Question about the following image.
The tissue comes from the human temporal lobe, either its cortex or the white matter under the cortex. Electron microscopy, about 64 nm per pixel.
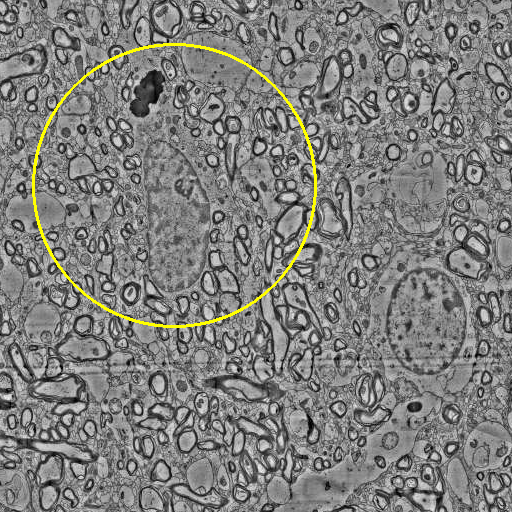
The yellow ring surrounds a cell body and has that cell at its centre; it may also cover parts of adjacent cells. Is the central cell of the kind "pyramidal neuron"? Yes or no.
No, it is of another kind.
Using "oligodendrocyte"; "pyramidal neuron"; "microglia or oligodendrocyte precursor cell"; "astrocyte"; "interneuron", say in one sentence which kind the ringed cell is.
Sitting at the ring centre is an oligodendrocyte.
